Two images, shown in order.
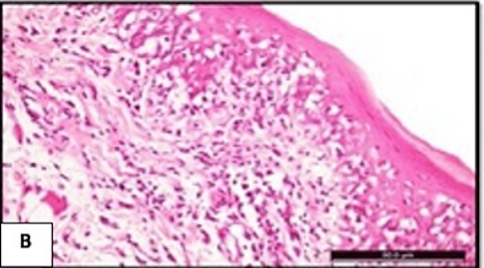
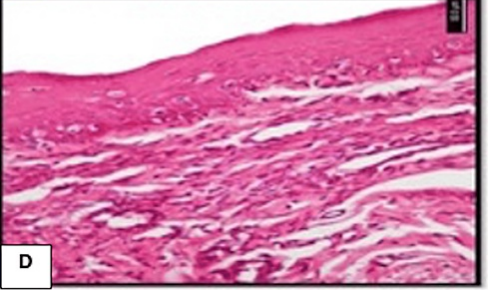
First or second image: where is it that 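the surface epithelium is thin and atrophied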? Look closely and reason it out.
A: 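Second image: a continuous, fairly thick pink epithelial layer covers the surface. So: the first image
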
